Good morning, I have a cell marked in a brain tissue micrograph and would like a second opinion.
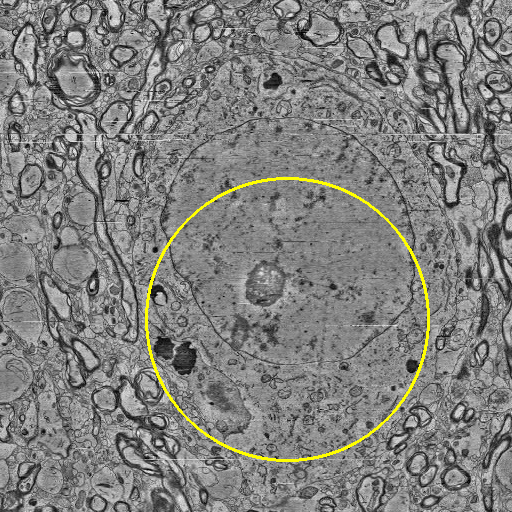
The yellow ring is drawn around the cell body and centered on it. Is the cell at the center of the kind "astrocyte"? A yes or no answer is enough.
no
